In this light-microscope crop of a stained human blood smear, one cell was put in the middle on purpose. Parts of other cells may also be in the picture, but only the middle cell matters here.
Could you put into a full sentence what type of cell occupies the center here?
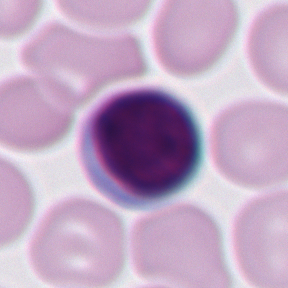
The cell at the centre of the field is a lymphocyte.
